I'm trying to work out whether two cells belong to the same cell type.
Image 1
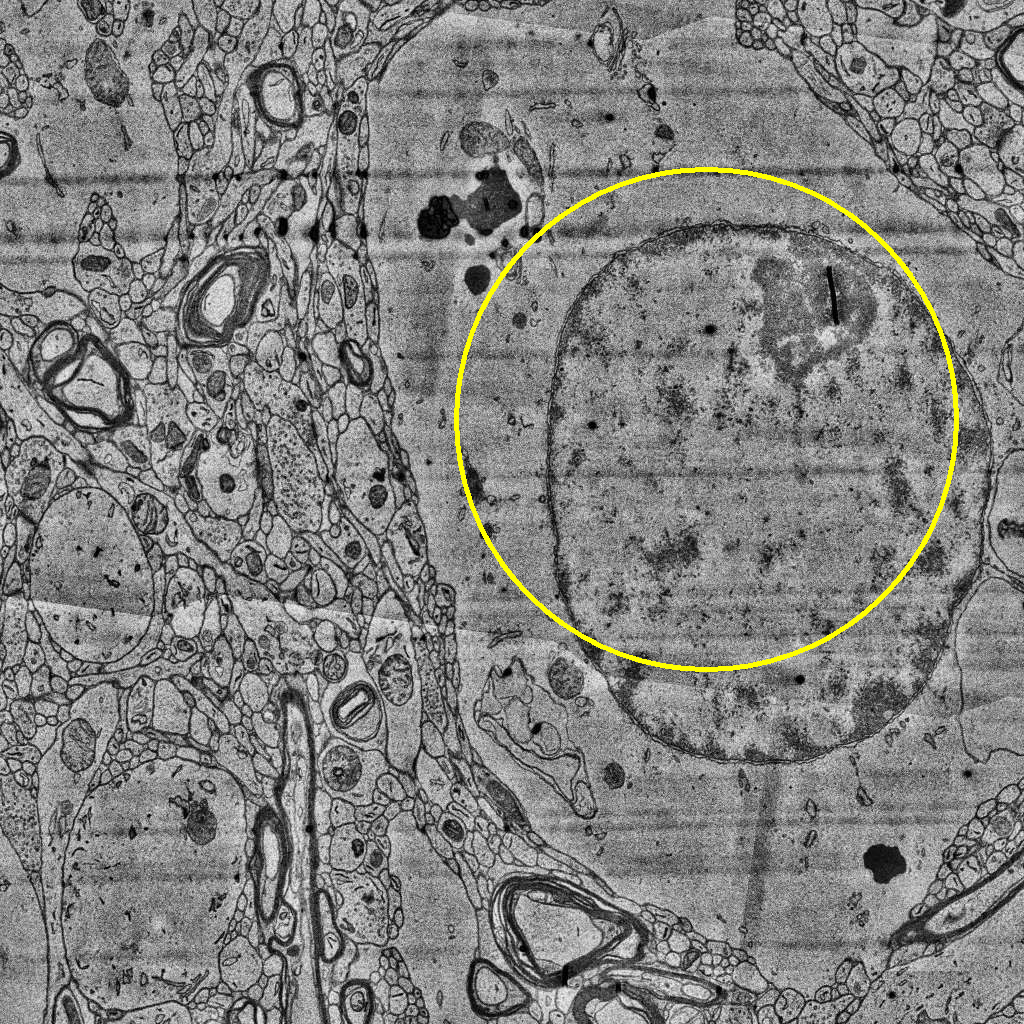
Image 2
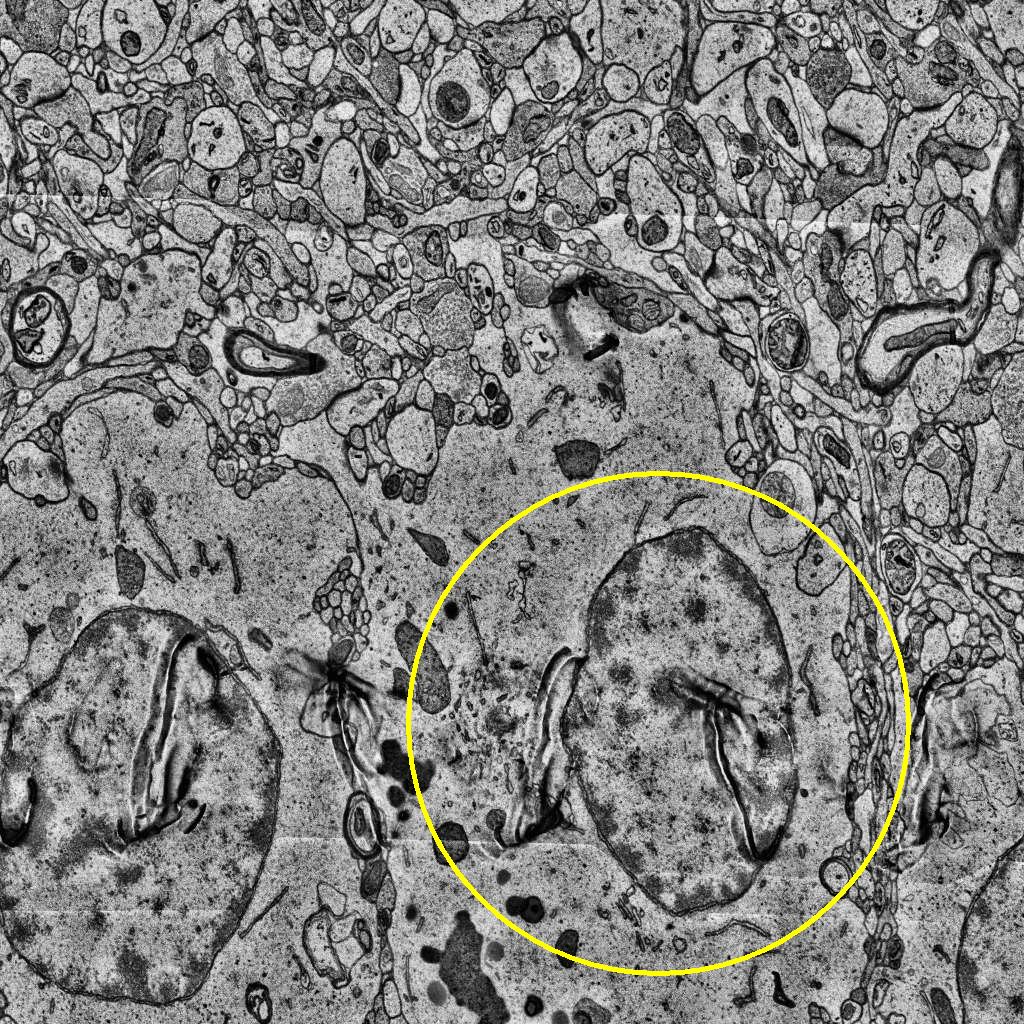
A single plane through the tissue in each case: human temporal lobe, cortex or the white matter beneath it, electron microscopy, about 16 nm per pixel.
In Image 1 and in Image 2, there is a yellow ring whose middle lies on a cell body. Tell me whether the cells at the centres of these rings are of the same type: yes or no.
yes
